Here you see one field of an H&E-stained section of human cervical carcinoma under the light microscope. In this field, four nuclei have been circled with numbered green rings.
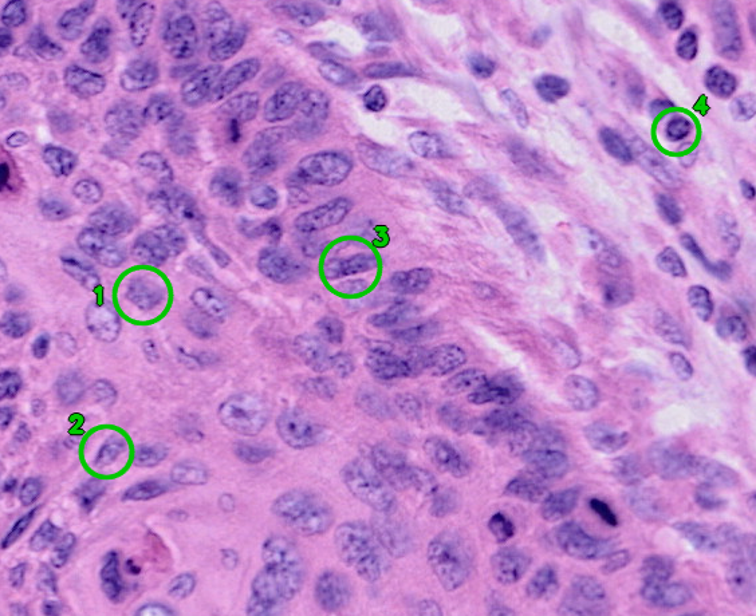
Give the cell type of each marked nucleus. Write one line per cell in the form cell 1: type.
cell 1: squamous carcinoma cell
cell 2: squamous carcinoma cell
cell 3: squamous carcinoma cell
cell 4: lymphocyte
